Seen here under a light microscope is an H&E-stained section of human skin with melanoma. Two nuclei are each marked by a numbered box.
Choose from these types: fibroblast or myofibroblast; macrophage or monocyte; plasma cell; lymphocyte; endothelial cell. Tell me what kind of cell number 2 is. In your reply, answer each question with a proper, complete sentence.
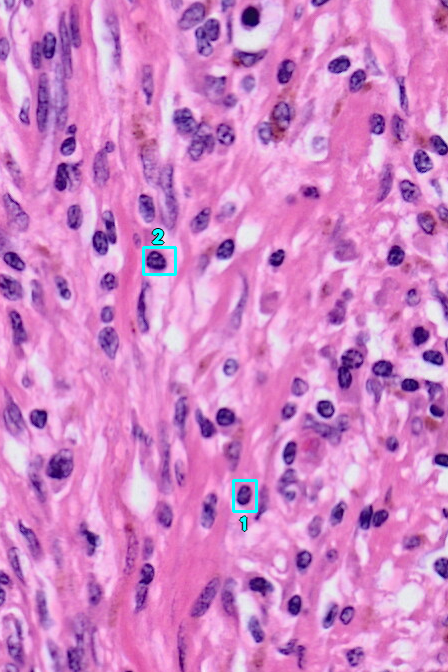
The cell assigned the number 2 is a plasma cell.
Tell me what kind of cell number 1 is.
The expected answer is that cell 1 is a lymphocyte.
